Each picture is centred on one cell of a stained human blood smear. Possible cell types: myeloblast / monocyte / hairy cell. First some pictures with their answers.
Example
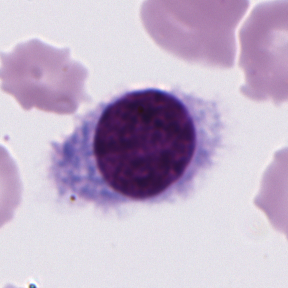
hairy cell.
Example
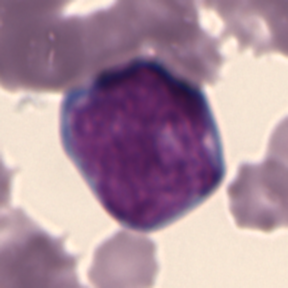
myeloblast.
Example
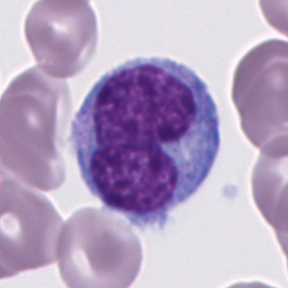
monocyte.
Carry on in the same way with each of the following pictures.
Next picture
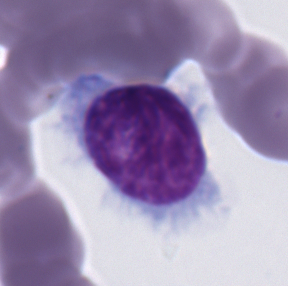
hairy cell.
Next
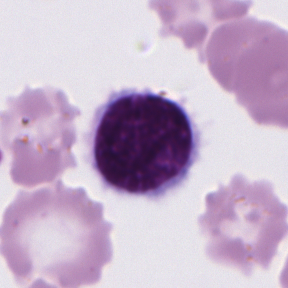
hairy cell.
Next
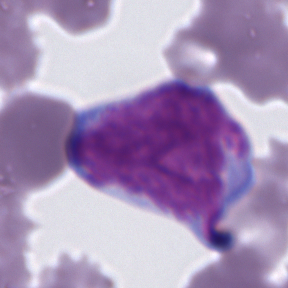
myeloblast.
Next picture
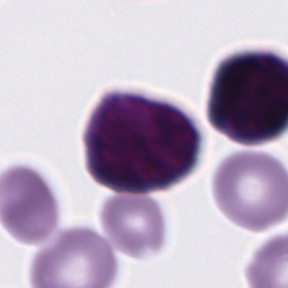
myeloblast.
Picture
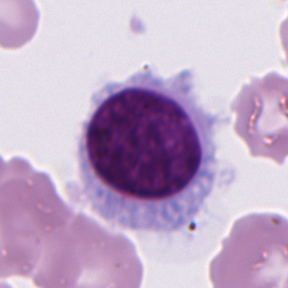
hairy cell.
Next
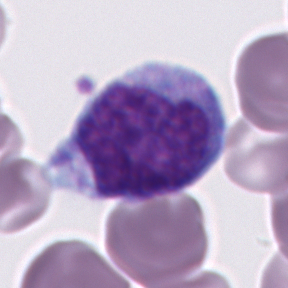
monocyte.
